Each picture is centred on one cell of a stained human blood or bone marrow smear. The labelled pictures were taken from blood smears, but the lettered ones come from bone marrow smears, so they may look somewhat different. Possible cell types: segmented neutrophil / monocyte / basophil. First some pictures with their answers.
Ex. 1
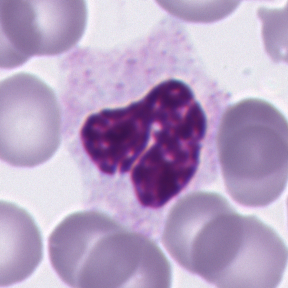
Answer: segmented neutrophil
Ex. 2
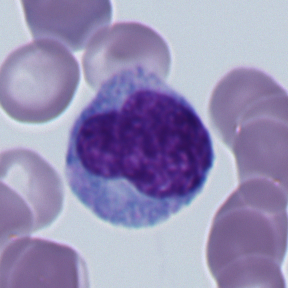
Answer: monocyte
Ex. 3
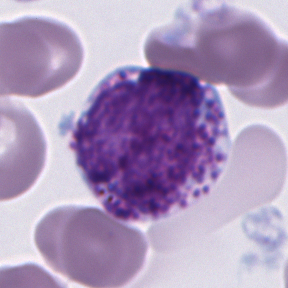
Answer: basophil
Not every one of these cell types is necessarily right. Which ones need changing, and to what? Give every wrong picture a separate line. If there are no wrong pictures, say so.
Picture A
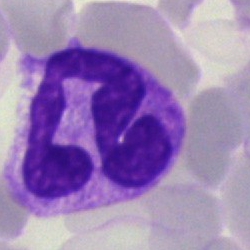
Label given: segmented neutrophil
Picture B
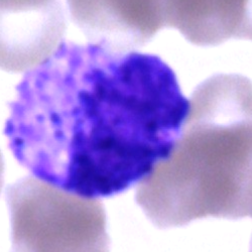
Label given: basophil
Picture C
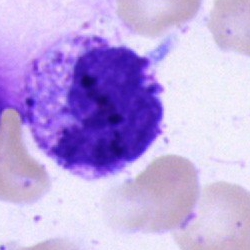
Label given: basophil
All labels are correct.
